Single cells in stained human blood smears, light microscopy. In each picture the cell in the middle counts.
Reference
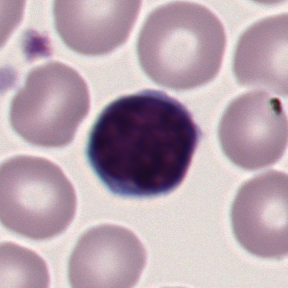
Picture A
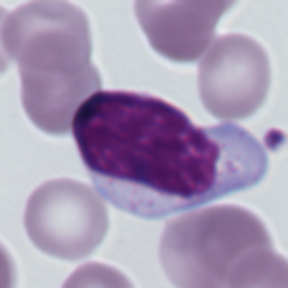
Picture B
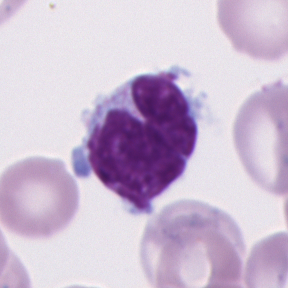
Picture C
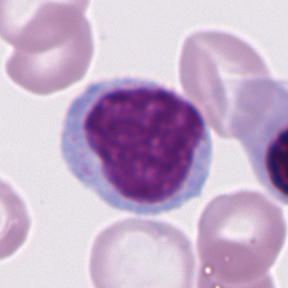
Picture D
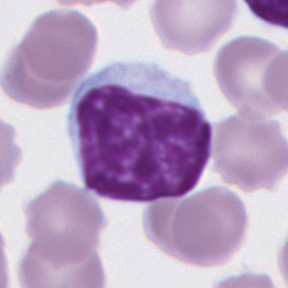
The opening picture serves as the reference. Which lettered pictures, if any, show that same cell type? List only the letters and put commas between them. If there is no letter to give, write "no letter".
B, C, D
